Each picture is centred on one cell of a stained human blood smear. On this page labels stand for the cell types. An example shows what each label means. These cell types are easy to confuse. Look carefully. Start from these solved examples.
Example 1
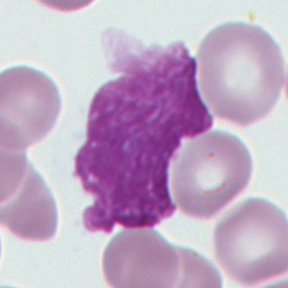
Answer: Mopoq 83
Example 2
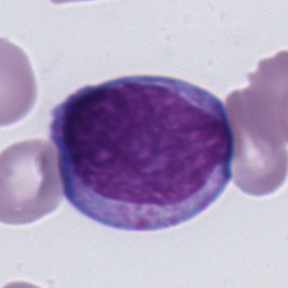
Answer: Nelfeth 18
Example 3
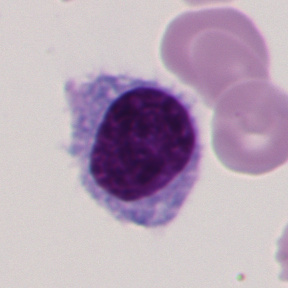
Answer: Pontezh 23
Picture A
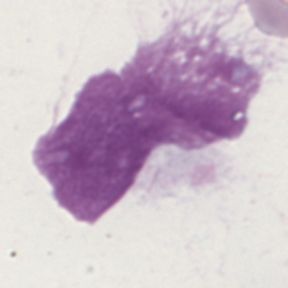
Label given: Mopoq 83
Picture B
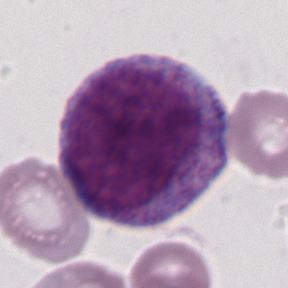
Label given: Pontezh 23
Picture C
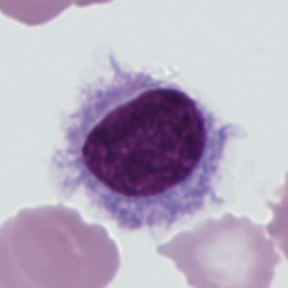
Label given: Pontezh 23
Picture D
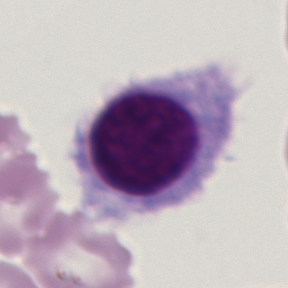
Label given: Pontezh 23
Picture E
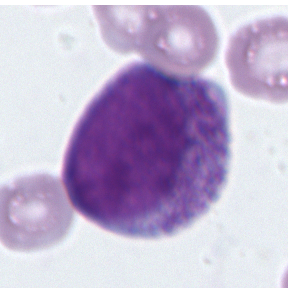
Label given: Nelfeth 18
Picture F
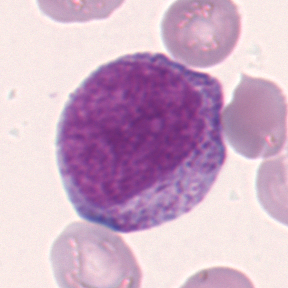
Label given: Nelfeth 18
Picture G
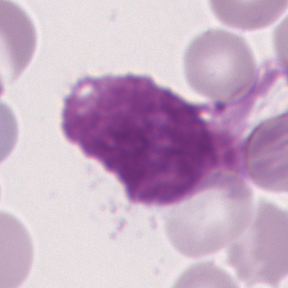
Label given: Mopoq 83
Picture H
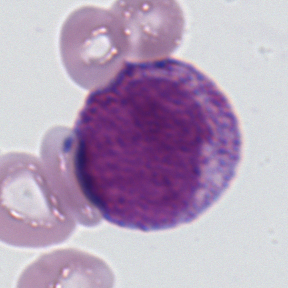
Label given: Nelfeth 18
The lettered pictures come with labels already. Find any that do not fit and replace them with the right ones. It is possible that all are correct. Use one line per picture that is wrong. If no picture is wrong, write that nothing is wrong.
B should be Nelfeth 18, not Pontezh 23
